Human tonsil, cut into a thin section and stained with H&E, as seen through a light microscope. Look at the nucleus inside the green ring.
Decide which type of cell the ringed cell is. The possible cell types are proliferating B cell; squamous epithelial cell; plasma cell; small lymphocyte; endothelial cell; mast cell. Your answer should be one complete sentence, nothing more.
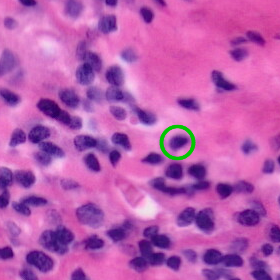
As classified here, the ringed cell is a mast cell.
